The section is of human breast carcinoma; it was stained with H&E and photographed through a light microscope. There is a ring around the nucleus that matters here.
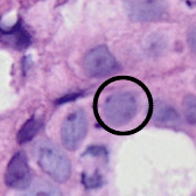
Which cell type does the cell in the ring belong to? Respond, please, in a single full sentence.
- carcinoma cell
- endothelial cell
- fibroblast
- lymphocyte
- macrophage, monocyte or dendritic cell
The category to which the cell in the ring belongs is that of a carcinoma cell.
